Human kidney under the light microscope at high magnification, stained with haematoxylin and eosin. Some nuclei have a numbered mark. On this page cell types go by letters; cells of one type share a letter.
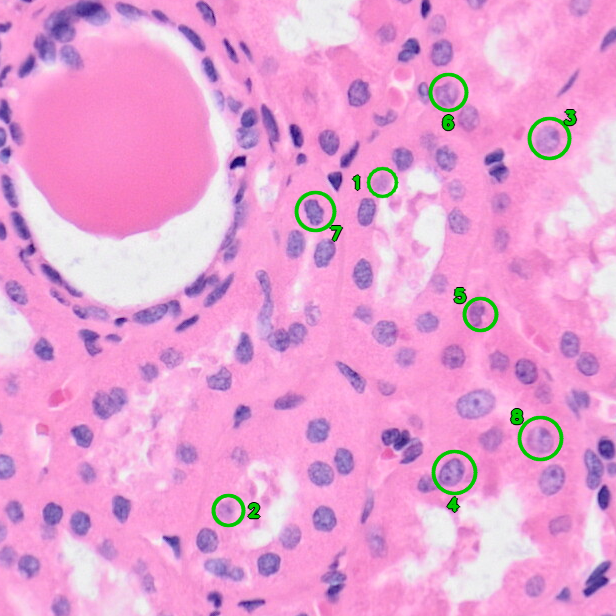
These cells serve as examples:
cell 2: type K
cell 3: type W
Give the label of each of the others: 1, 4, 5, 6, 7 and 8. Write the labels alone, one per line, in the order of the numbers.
type K
type W
type W
type W
type K
type W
